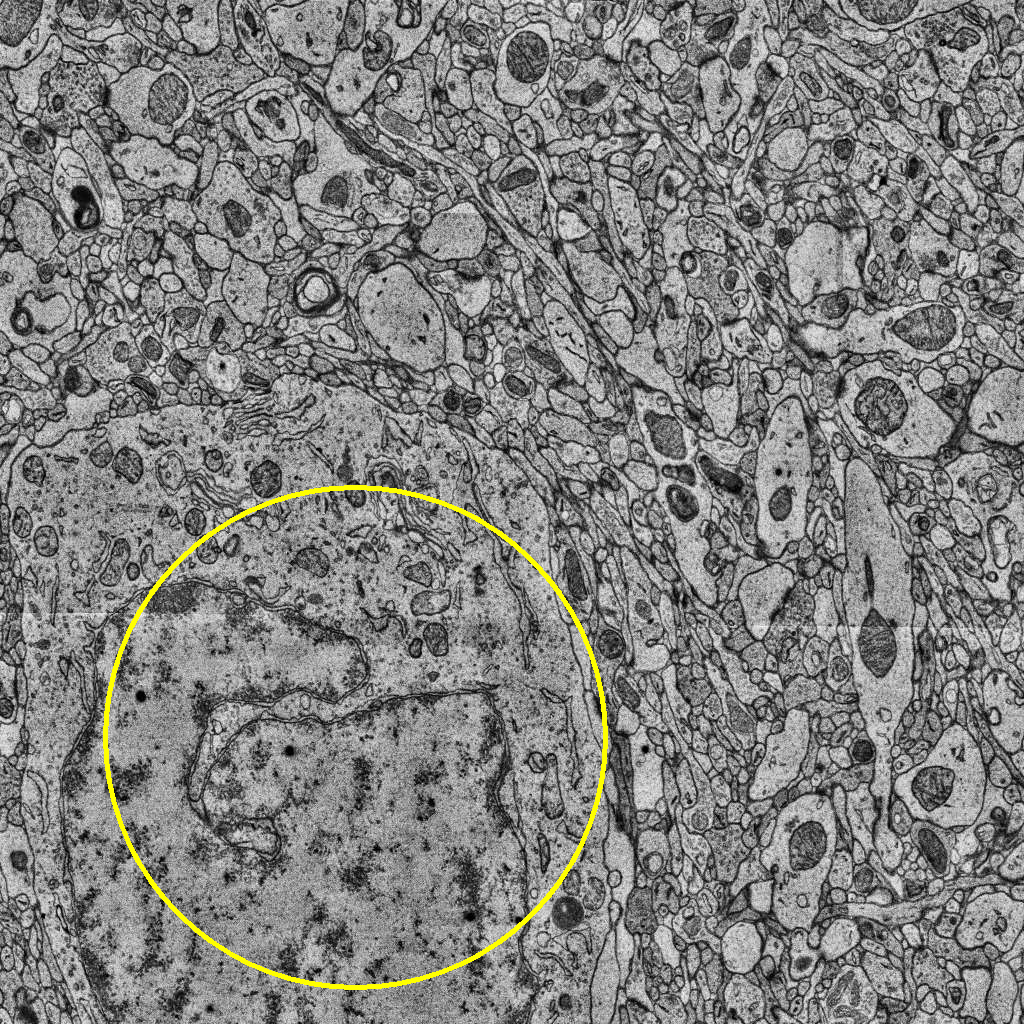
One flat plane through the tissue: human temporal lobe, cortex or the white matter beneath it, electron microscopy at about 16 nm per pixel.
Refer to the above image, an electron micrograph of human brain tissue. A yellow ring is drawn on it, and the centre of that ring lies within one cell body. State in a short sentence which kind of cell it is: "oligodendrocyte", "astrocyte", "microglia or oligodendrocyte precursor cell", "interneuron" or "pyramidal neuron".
The centre of the ring falls on an interneuron.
